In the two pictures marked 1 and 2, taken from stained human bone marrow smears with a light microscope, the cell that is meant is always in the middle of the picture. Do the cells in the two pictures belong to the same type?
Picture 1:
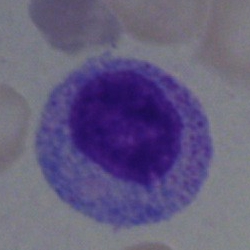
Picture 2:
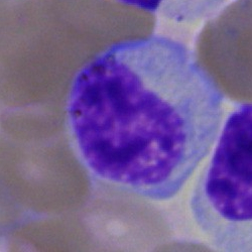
yes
